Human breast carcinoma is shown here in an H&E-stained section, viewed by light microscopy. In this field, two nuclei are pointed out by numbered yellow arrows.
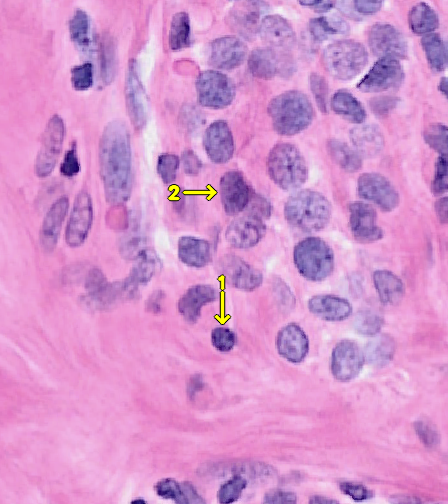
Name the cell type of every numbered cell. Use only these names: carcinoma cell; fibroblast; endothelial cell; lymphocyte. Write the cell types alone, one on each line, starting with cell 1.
lymphocyte
carcinoma cell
